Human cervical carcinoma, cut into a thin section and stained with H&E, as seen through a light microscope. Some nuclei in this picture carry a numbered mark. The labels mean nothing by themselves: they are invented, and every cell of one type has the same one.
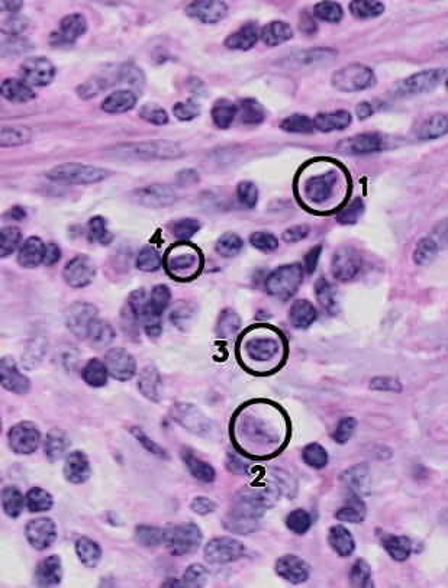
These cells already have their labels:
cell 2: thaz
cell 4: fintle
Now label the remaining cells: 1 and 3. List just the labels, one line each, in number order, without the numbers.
fintle
fintle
